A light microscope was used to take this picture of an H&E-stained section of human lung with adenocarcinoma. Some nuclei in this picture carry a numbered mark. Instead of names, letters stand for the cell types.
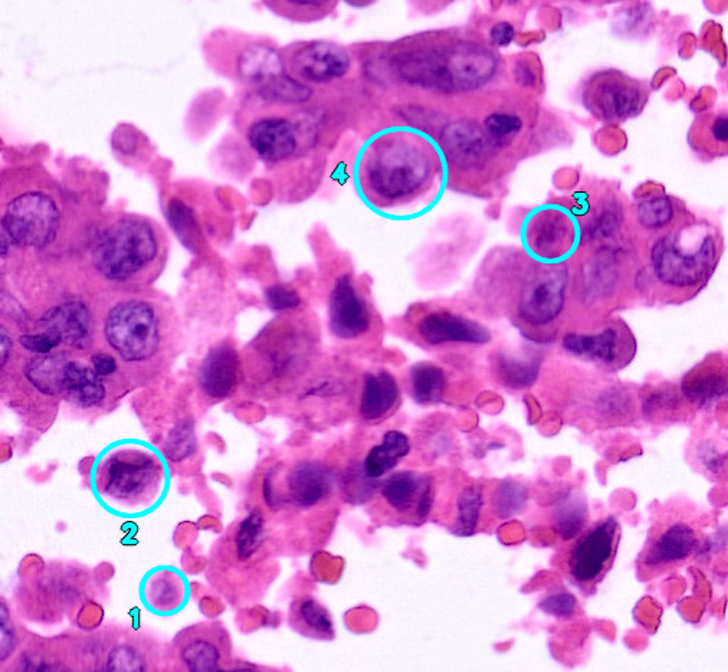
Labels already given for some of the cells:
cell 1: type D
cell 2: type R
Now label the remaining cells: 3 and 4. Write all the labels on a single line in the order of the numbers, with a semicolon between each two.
type R; type R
